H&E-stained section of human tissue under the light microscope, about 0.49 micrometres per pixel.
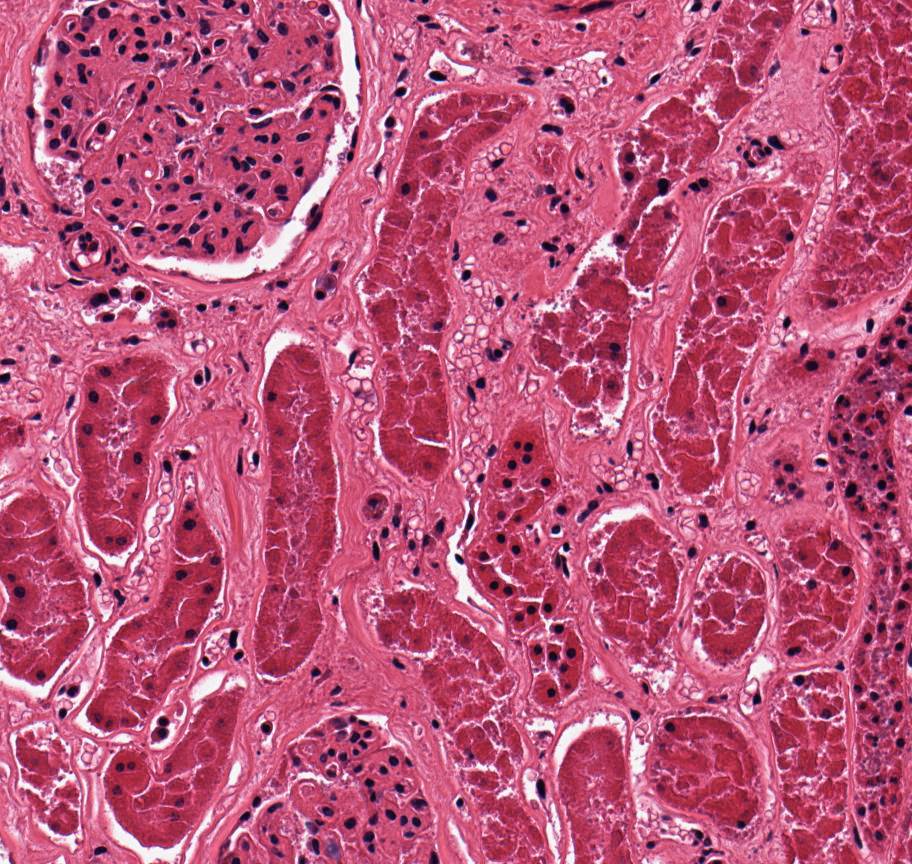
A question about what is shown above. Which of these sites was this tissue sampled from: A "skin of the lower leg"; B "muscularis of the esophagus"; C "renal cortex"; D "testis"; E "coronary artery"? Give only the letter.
C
